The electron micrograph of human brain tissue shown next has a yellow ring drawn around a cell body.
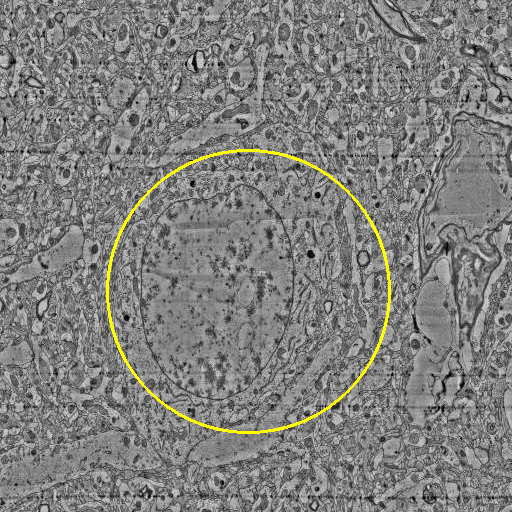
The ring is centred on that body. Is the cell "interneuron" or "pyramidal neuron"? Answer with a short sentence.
The cell in question is a pyramidal neuron.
